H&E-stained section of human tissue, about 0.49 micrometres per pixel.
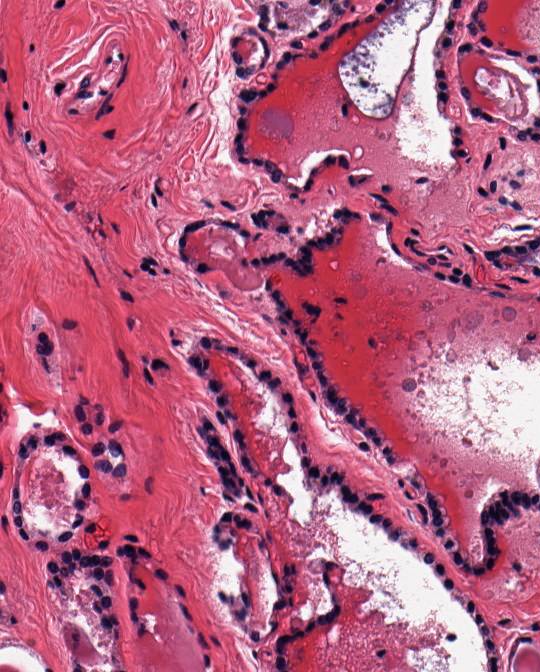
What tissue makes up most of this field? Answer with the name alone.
thyroid follicle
